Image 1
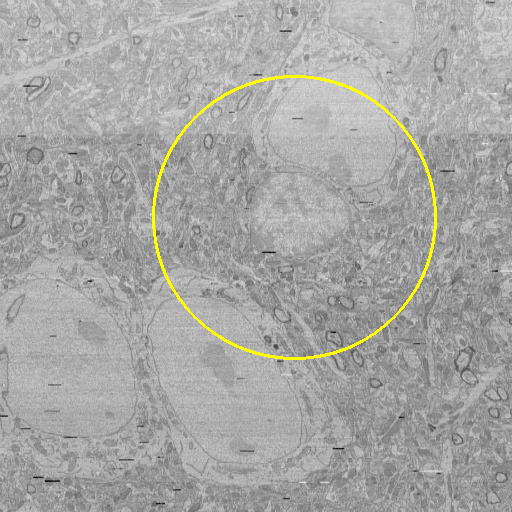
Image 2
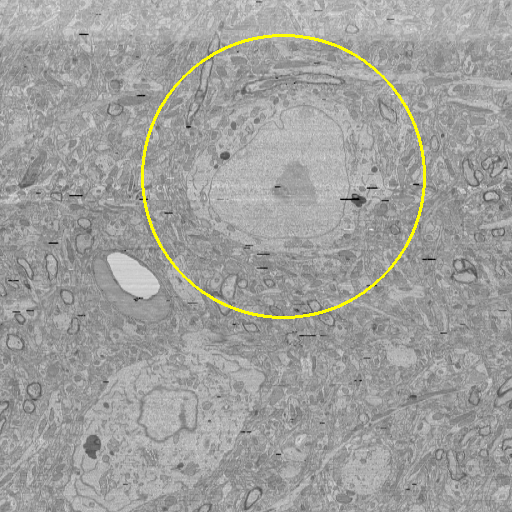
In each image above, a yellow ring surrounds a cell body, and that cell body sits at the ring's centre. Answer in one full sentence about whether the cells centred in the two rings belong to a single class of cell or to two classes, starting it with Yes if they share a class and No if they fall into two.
No, the cells centred in the two yellow rings belong to two classes of cell.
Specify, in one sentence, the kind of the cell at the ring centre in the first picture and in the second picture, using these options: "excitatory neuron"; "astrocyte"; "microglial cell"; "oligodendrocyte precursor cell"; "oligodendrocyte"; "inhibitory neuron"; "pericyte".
So the first is an oligodendrocyte, the second an excitatory neuron.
